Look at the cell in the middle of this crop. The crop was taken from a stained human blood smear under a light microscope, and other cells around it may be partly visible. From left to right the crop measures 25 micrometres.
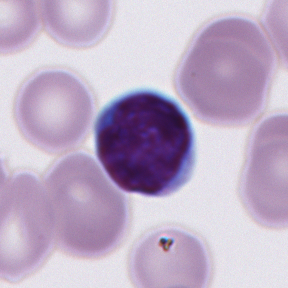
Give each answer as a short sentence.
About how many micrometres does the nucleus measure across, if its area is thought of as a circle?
The diameter of the nucleus comes to about 8 micrometres.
